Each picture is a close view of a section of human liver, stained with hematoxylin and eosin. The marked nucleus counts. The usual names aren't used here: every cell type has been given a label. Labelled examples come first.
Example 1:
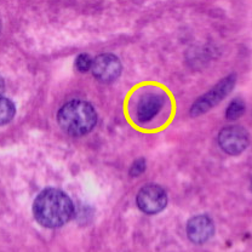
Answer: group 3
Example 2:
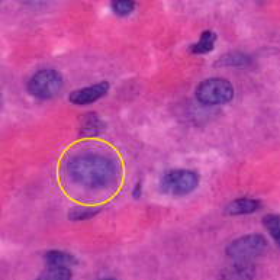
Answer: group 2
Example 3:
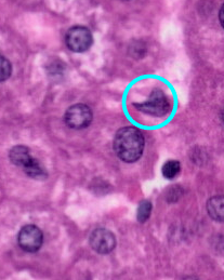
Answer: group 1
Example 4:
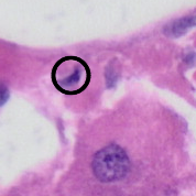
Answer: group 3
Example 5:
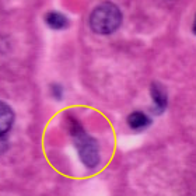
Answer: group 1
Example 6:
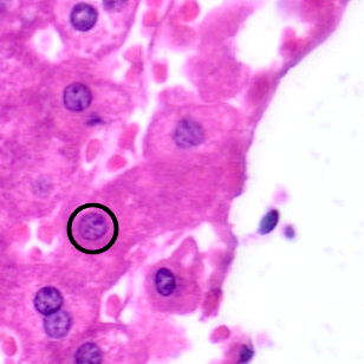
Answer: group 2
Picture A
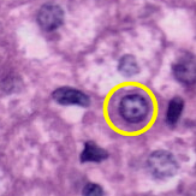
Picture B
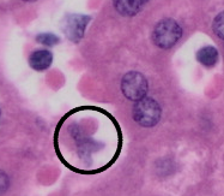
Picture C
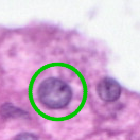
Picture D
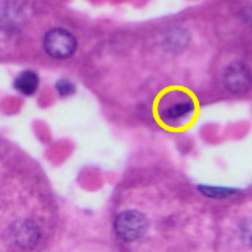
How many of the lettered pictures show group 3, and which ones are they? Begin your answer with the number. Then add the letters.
Count: 1 (D)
